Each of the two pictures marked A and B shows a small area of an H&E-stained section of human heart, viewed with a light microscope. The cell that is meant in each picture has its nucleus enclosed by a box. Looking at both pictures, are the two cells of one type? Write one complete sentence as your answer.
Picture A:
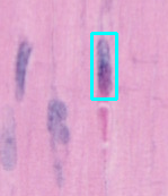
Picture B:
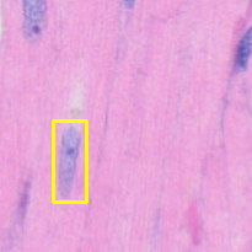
No, the types are not the same, since picture A shows an endothelial cell and picture B a cardiomyocyte.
